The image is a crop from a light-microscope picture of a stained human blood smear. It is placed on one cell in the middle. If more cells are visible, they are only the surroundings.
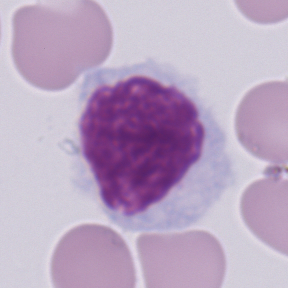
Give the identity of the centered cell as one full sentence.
The cell that lies at the centre of the crop is a hairy cell.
